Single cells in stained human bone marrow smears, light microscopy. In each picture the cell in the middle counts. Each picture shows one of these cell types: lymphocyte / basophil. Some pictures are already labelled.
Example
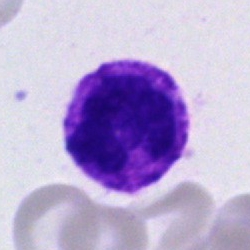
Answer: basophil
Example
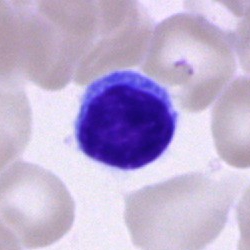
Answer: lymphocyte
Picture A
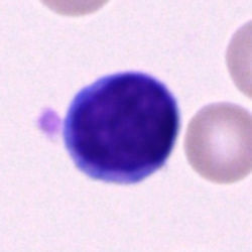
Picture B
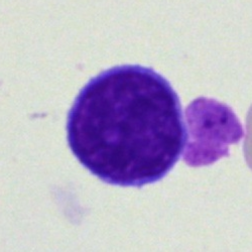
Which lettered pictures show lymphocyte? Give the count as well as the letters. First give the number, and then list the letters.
2, namely A, B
